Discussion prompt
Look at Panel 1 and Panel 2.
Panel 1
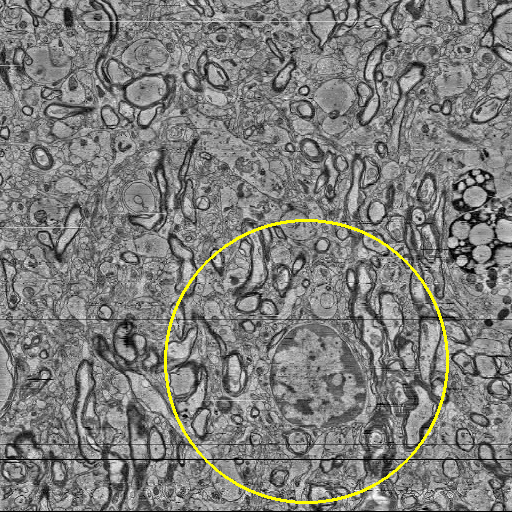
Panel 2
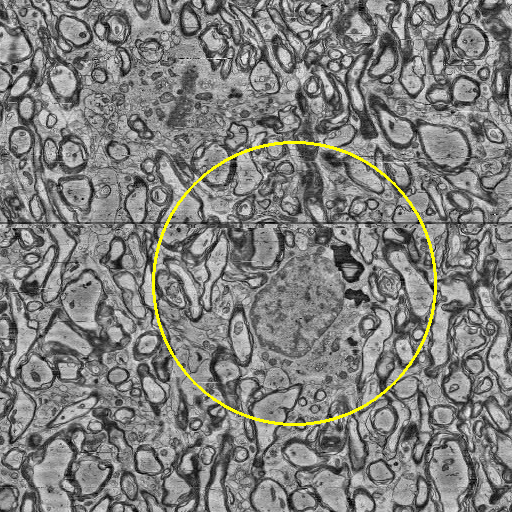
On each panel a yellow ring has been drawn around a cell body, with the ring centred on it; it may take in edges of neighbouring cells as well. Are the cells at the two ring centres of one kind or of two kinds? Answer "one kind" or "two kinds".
two kinds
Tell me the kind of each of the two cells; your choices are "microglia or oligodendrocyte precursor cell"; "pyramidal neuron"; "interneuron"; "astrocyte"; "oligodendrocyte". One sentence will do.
The ringed cell is a microglial cell or oligodendrocyte precursor cell in the first picture and an oligodendrocyte in the second picture.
